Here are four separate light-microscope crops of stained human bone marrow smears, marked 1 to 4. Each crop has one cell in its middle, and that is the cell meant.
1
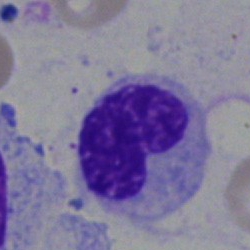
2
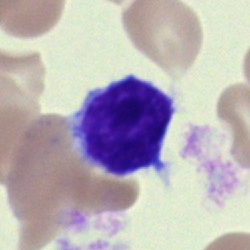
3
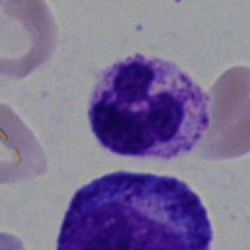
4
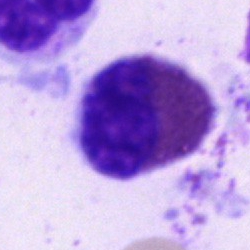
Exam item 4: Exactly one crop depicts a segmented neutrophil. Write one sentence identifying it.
Of the cells presented, the one in crop 3 is a segmented neutrophil.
